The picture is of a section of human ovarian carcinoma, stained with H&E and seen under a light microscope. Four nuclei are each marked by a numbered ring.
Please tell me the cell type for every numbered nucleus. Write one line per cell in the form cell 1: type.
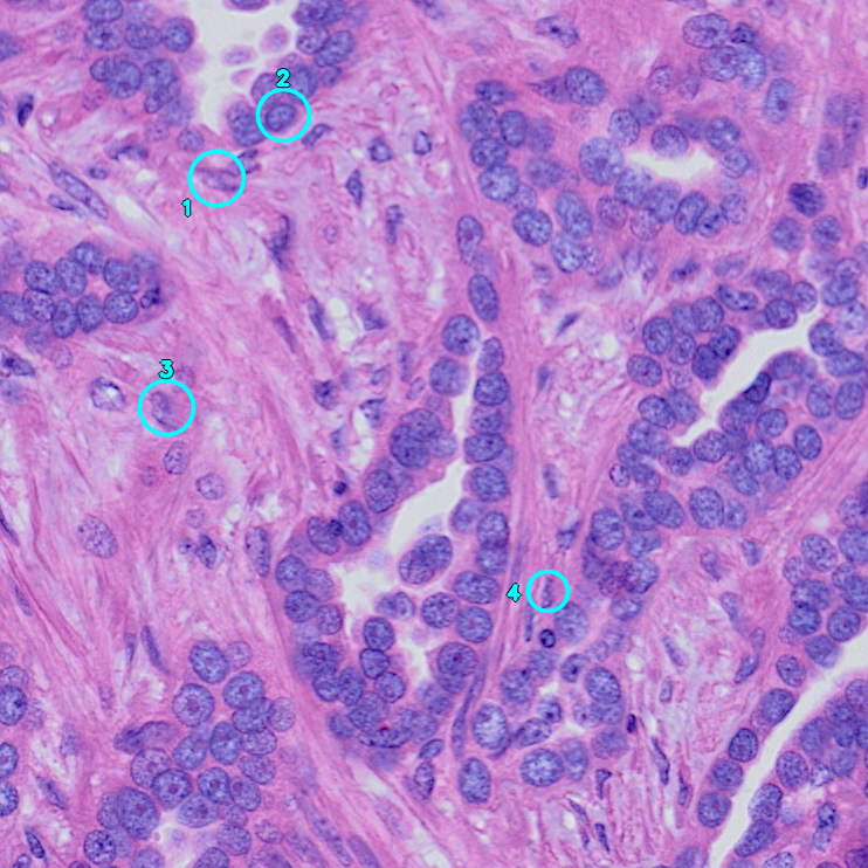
cell 1: fibroblast
cell 2: carcinoma cell
cell 3: fibroblast
cell 4: fibroblast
